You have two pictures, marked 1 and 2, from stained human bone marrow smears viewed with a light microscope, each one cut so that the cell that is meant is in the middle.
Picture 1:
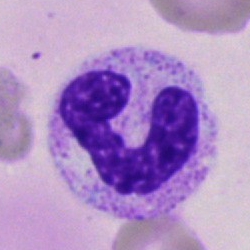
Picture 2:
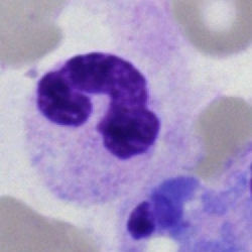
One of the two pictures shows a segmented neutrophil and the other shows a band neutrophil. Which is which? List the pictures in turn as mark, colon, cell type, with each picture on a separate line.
1: segmented neutrophil
2: band neutrophil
